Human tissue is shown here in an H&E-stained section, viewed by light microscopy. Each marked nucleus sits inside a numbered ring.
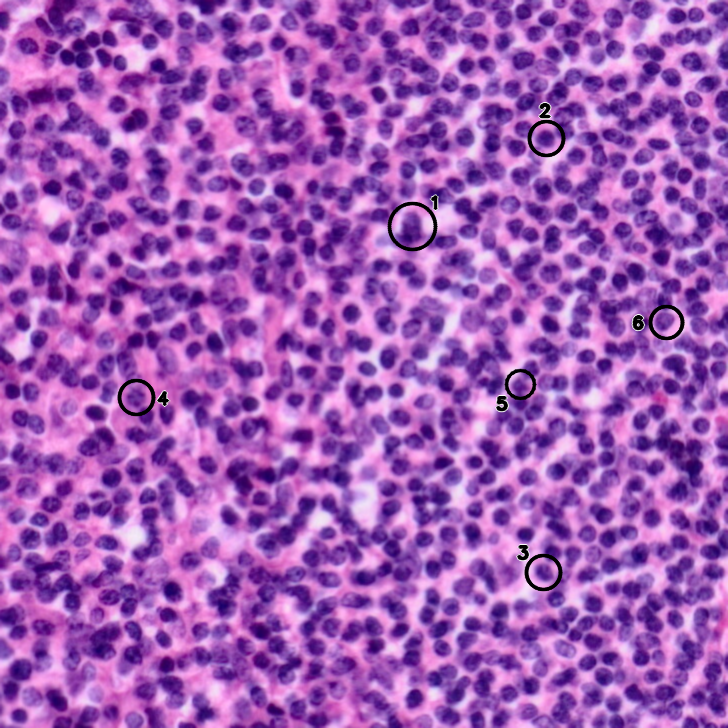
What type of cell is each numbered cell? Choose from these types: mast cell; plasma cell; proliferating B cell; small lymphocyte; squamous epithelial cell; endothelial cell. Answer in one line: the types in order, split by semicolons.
proliferating B cell; small lymphocyte; small lymphocyte; plasma cell; small lymphocyte; small lymphocyte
